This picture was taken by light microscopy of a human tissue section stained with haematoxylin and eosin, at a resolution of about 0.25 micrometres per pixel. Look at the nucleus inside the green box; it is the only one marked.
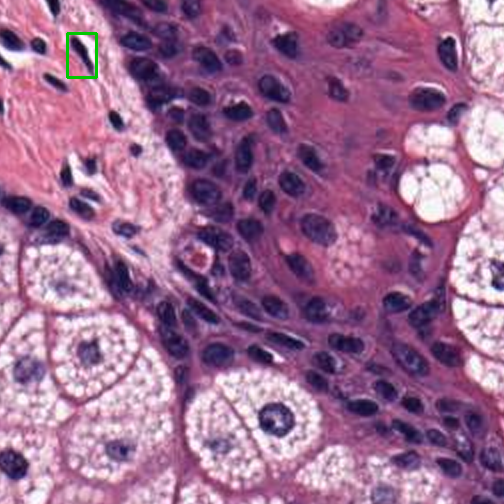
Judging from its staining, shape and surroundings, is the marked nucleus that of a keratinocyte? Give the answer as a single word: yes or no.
no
